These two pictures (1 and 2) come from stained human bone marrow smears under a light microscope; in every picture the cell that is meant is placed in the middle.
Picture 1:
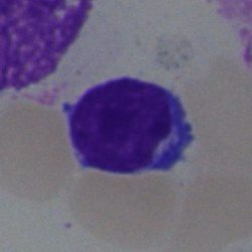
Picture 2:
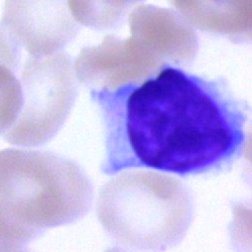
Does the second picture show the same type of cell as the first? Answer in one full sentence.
Yes, they are the same type: both are lymphocytes.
